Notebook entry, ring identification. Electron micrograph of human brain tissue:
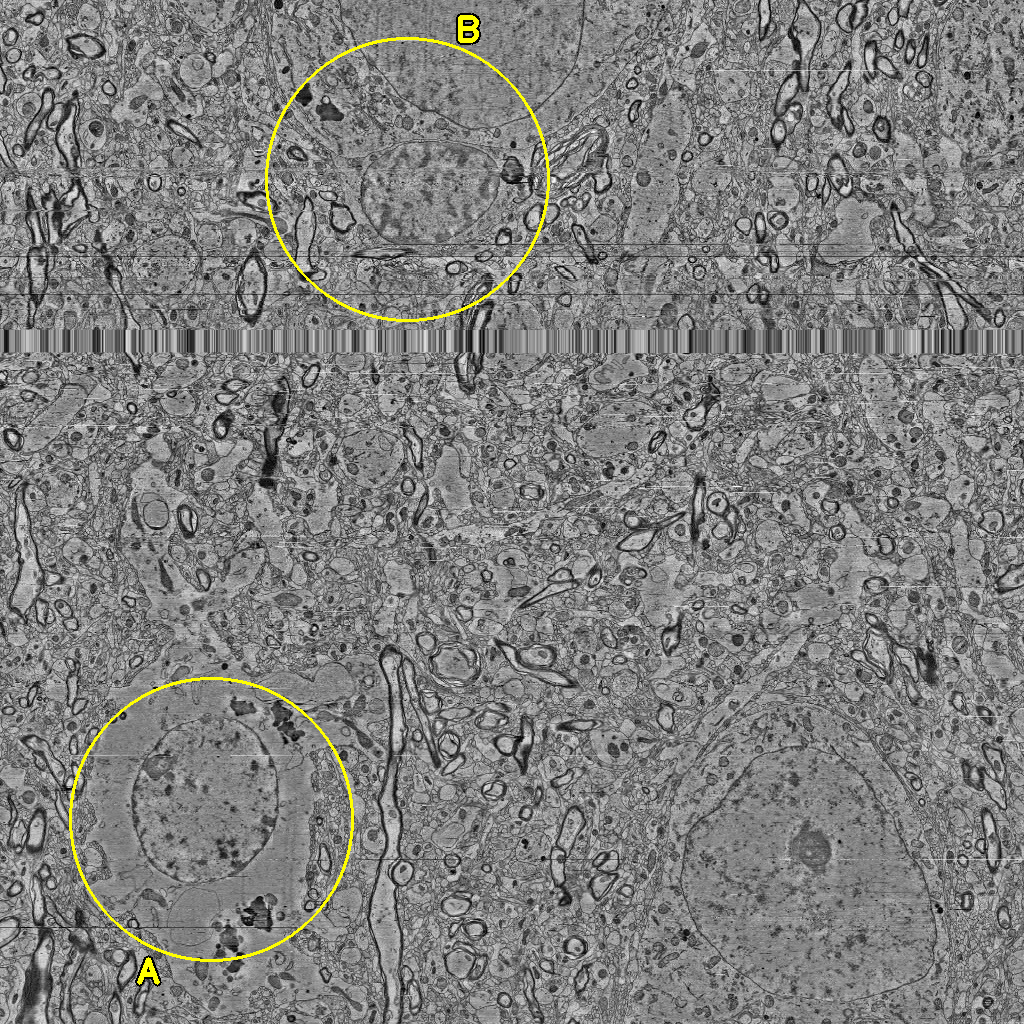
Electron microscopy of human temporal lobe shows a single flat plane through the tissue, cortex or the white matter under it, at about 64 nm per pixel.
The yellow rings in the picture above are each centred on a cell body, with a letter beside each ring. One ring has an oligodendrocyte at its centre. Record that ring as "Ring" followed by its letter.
Ring B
